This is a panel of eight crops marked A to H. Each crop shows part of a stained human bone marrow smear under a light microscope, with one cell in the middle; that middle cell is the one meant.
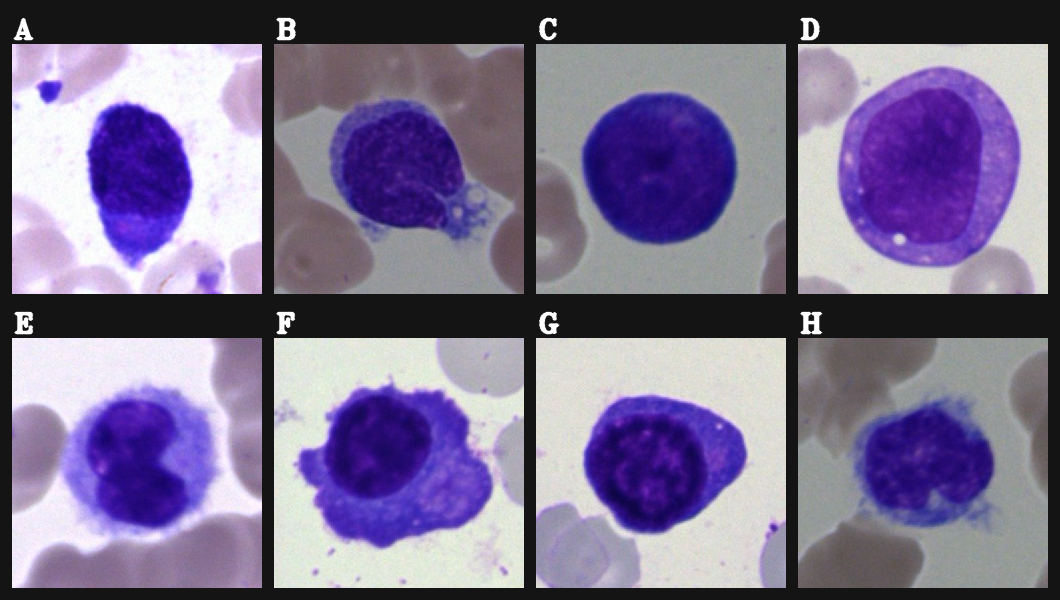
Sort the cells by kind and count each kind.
blast: 3
monocyte: 3
plasma cell: 2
